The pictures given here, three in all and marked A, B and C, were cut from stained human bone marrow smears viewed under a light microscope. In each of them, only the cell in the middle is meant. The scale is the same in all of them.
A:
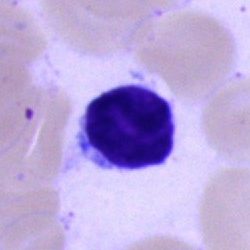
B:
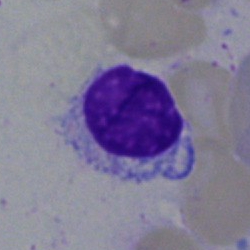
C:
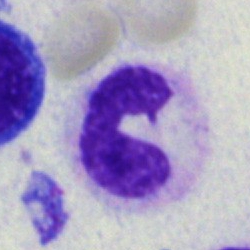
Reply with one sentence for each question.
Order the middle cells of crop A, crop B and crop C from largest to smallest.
The order is C, B, A, beginning with the largest.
